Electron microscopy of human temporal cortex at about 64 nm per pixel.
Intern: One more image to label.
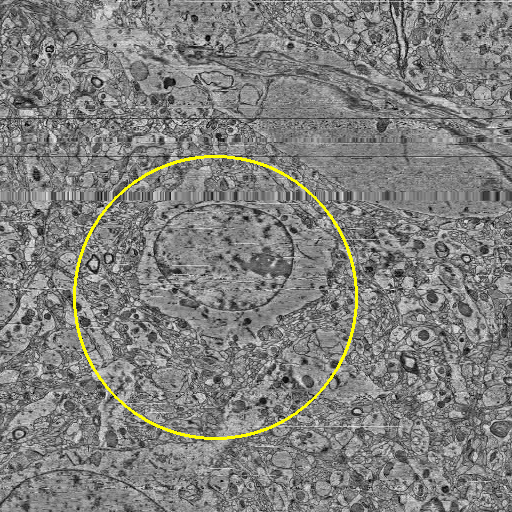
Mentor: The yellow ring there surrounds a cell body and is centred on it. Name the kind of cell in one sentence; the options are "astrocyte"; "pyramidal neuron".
The ring marks the cell body of an astrocyte.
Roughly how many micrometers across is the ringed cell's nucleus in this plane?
The nucleus of the ringed cell is approximately 9 micrometres across in this plane.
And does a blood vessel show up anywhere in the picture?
Yes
